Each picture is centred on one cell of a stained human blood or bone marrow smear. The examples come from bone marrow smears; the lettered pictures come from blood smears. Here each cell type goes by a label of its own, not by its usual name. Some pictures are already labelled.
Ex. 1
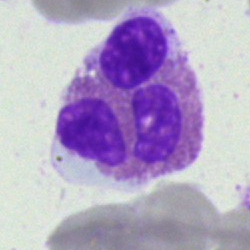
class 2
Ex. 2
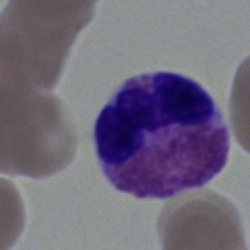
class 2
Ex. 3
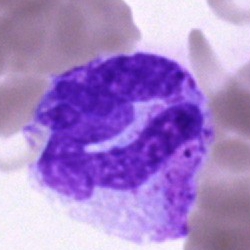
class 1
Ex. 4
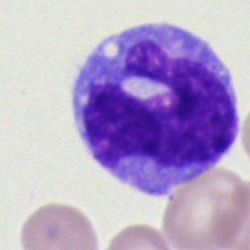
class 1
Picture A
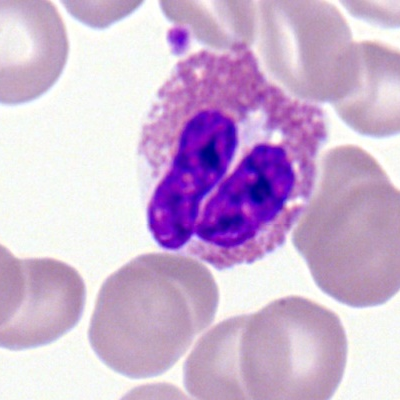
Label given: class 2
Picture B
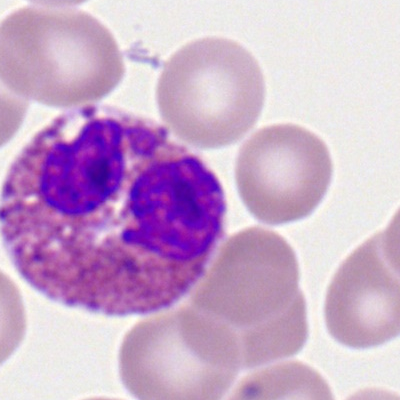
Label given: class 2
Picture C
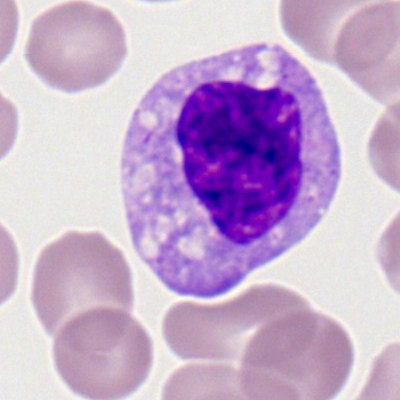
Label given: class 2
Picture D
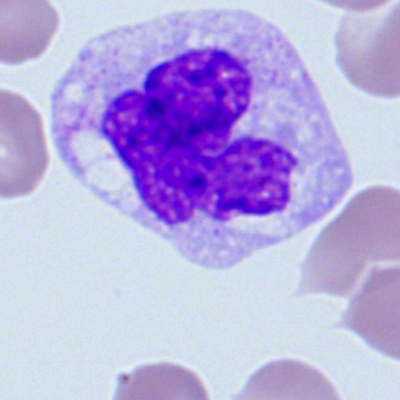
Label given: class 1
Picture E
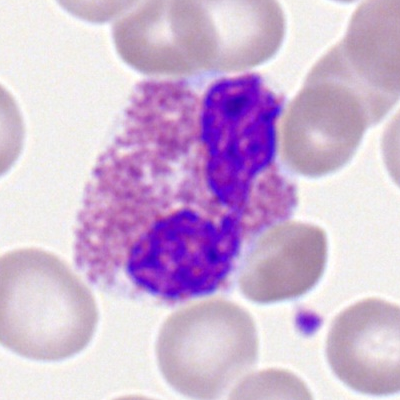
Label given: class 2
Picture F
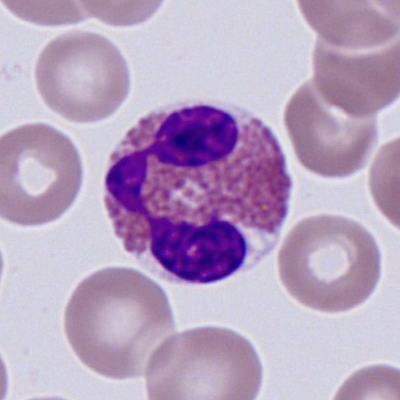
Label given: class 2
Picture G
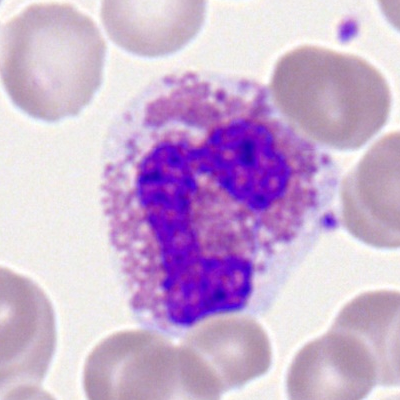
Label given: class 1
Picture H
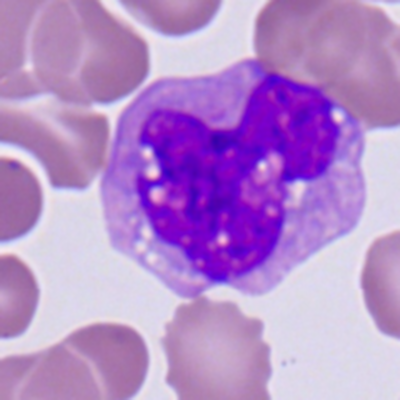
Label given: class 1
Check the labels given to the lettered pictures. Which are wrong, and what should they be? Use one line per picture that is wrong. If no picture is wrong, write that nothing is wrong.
C: class 1, not class 2
G: class 2, not class 1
